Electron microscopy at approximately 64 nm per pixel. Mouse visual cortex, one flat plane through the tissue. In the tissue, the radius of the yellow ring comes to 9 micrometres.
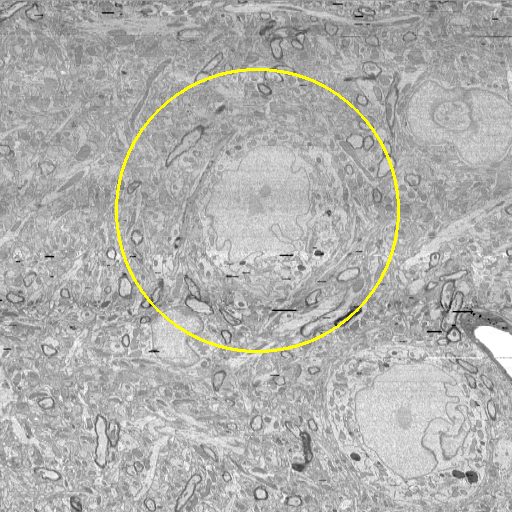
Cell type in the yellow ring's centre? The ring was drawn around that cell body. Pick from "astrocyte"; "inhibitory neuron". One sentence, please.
The ringed cell body is that of an inhibitory neuron.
